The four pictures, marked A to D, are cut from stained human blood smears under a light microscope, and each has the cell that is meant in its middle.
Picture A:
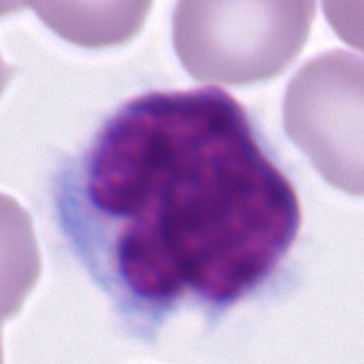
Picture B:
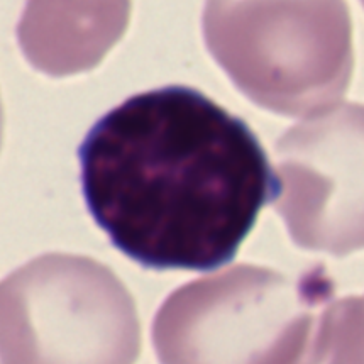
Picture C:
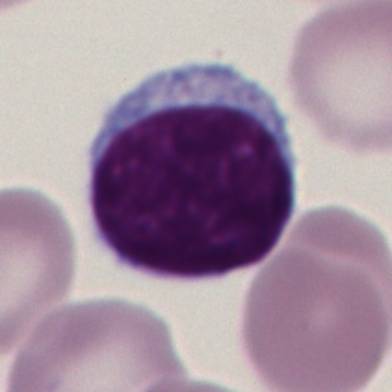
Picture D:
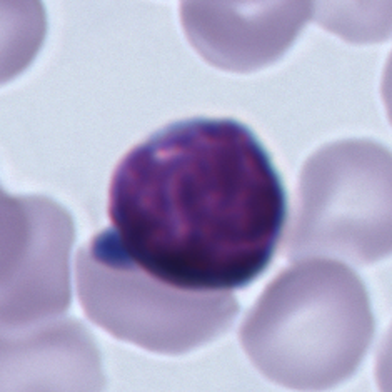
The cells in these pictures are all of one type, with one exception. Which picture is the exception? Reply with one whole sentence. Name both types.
Unlike the rest, which show typical lymphocytes, picture A shows a hairy cell.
